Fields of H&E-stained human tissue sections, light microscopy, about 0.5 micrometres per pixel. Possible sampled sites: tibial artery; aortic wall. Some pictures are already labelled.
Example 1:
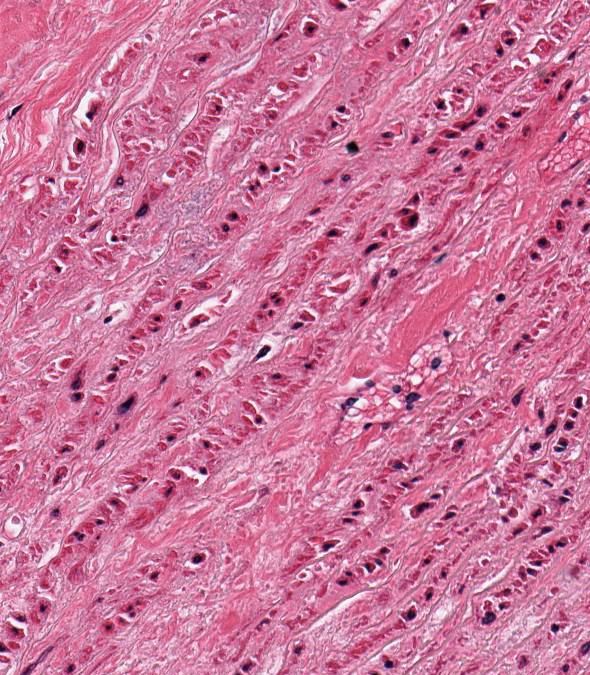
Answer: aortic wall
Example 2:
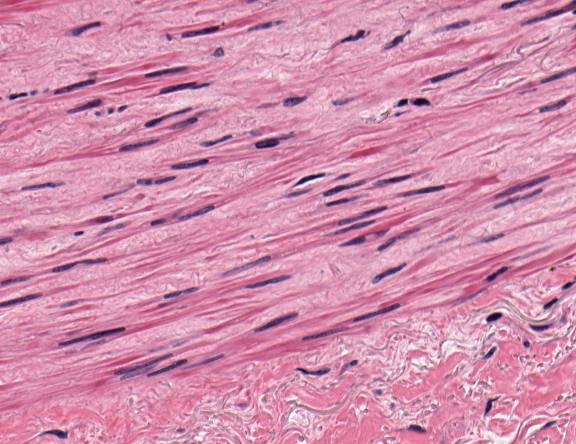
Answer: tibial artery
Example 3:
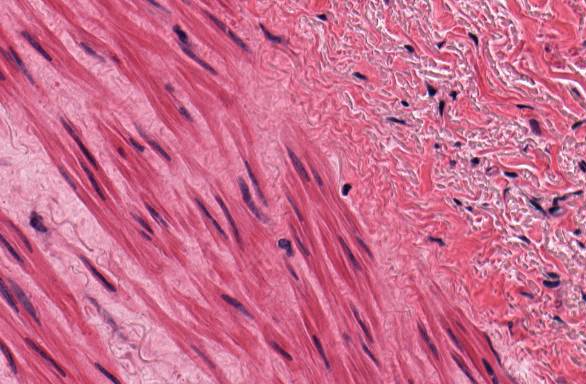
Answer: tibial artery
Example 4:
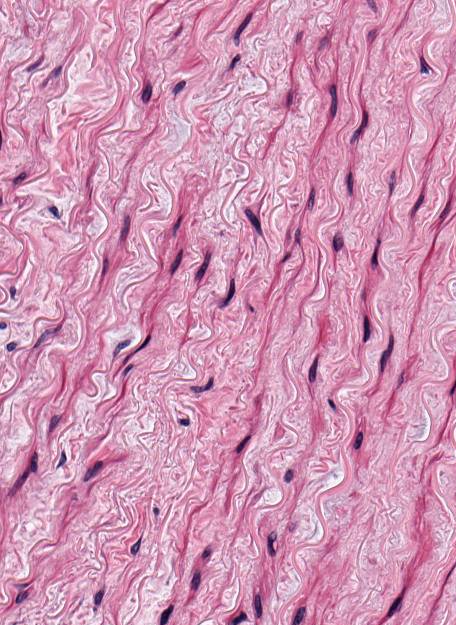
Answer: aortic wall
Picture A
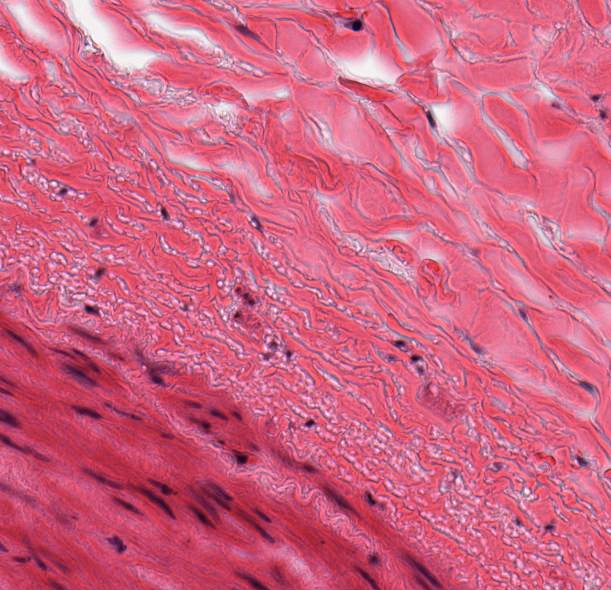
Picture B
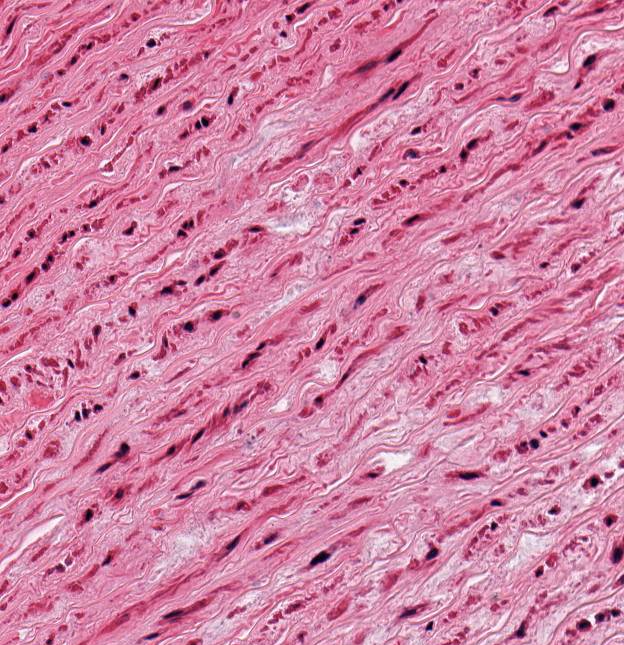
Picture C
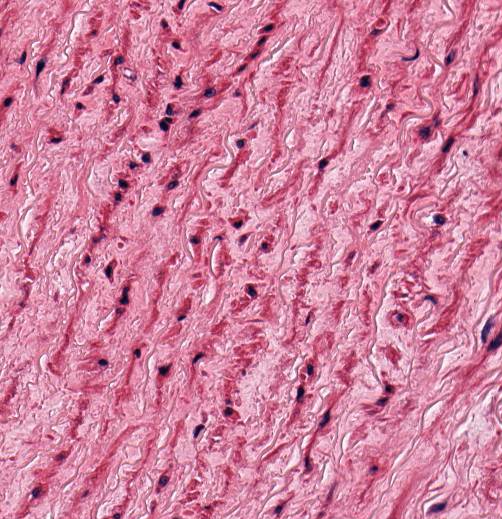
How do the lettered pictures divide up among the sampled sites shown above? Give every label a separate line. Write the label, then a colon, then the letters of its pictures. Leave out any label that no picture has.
tibial artery: A
aortic wall: B, C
